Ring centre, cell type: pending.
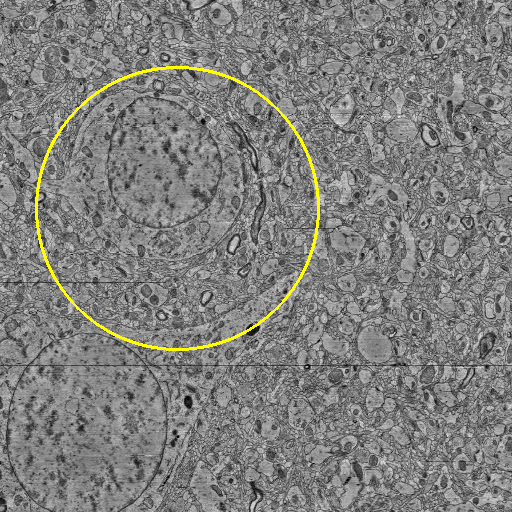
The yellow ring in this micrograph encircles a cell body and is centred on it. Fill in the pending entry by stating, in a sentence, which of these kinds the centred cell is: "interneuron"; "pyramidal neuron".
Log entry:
The centred cell is recorded as a pyramidal neuron.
